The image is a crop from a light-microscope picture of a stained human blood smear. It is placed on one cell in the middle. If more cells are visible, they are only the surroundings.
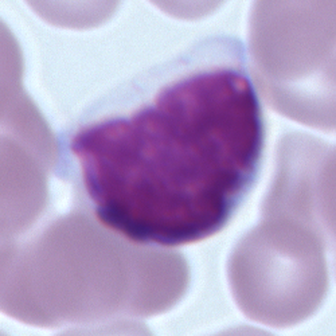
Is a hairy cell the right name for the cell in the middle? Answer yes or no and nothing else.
no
